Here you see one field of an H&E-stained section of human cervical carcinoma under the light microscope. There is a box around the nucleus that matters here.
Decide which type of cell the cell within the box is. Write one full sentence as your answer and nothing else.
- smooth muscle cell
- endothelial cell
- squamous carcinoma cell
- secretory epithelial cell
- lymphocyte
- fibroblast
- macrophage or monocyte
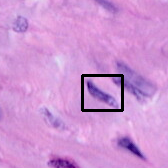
Placed in its cell category, the cell within the box is a fibroblast.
